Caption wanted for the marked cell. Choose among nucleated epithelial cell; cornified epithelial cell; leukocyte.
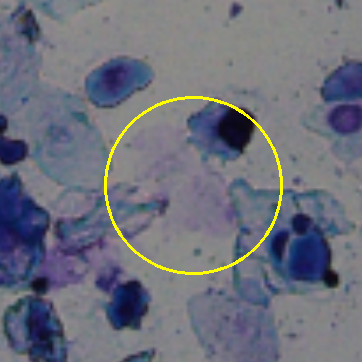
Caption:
Ringed in yellow is a cornified epithelial cell.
